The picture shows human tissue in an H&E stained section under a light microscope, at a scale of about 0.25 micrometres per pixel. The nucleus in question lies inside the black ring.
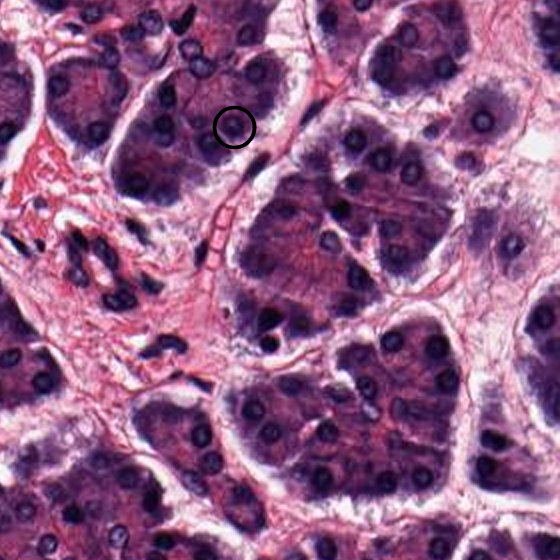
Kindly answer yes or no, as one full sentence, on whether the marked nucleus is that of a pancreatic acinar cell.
Yes, a pancreatic acinar cell contains the marked nucleus.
